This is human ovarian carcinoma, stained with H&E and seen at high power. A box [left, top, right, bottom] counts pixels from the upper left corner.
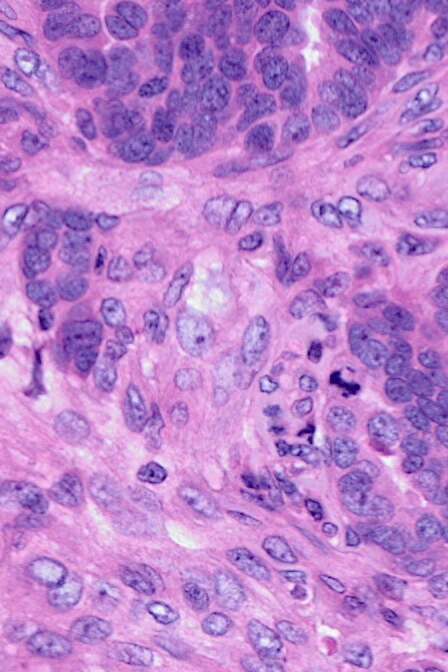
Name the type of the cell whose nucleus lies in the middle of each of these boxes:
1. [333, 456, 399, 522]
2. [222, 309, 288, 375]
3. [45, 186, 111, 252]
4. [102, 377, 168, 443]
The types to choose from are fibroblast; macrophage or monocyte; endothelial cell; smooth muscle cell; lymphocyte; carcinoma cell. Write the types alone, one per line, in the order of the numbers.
carcinoma cell
fibroblast
carcinoma cell
fibroblast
